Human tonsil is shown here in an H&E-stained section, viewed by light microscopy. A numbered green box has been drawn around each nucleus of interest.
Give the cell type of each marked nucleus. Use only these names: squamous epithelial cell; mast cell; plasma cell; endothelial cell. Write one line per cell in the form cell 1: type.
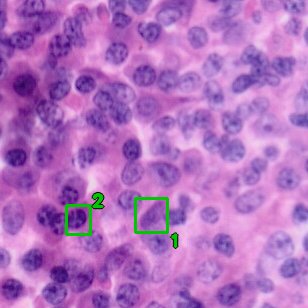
cell 1: squamous epithelial cell
cell 2: plasma cell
